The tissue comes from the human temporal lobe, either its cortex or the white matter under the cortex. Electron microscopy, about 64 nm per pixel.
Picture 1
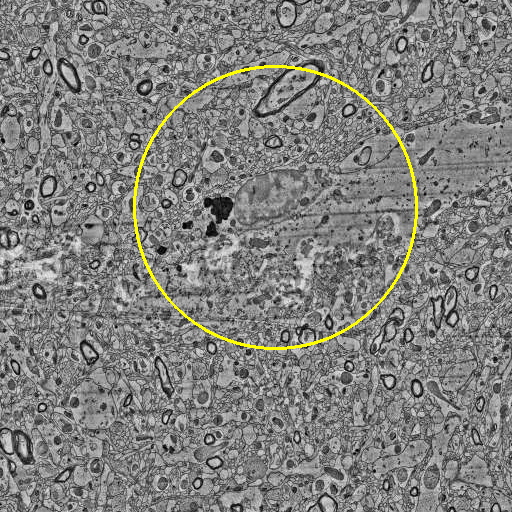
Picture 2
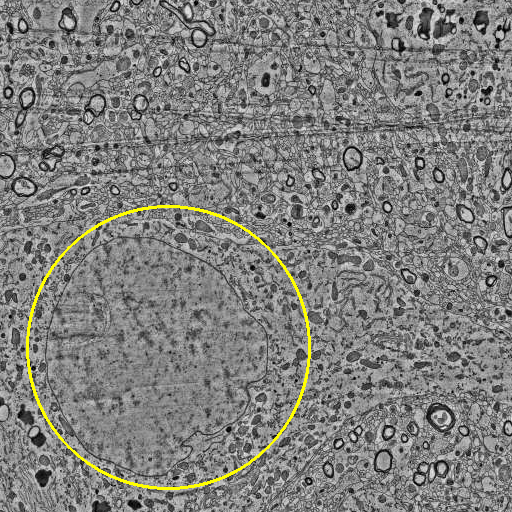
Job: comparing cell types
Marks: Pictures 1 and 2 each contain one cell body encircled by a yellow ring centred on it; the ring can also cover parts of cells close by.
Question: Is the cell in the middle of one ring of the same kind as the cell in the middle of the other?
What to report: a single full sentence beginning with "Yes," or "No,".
No, the cell at the ring centre in Picture 1 and its partner in Picture 2 are of two kinds.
